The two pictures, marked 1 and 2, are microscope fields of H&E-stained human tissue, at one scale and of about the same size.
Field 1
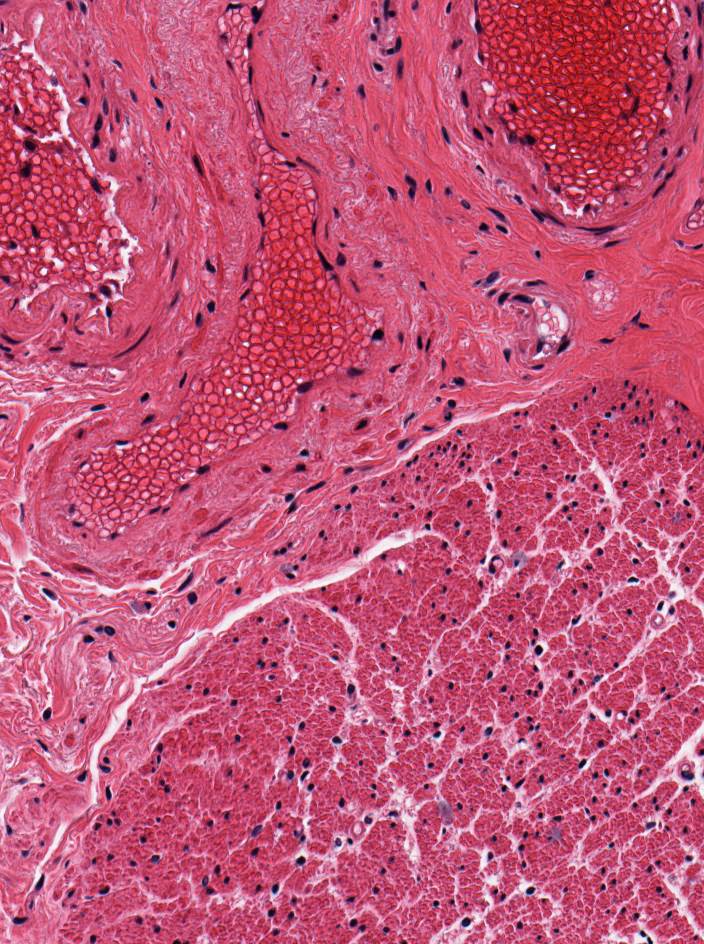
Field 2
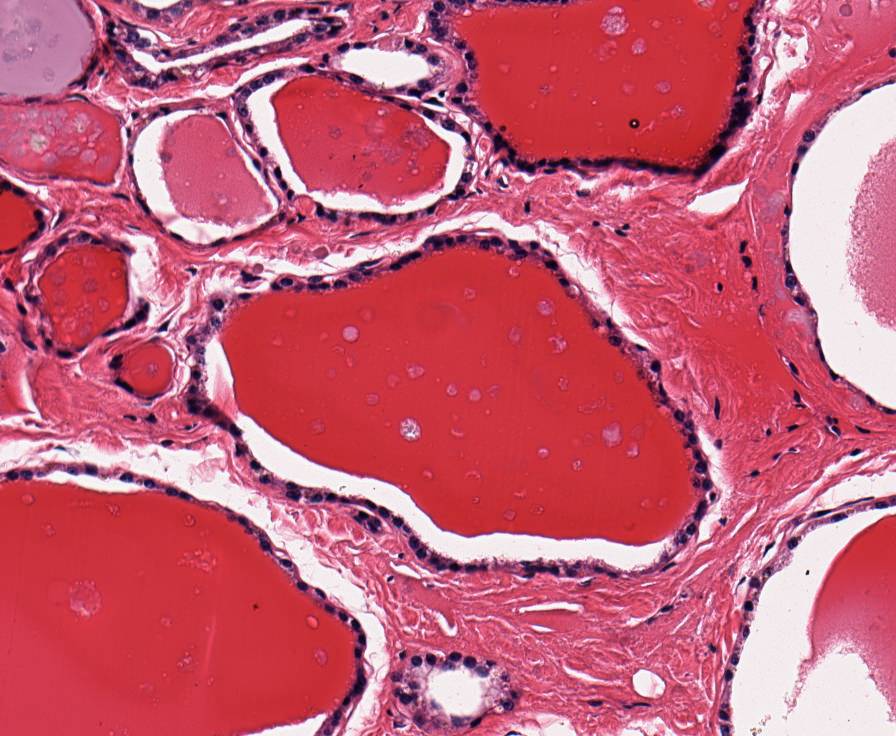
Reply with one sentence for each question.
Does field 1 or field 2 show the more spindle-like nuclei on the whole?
The nuclei are more elongated in field 2.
